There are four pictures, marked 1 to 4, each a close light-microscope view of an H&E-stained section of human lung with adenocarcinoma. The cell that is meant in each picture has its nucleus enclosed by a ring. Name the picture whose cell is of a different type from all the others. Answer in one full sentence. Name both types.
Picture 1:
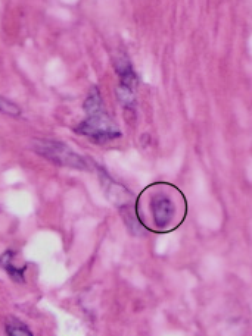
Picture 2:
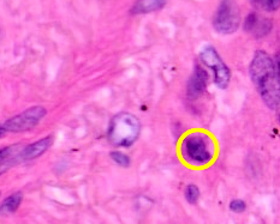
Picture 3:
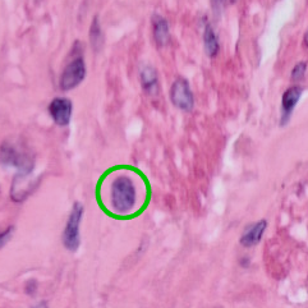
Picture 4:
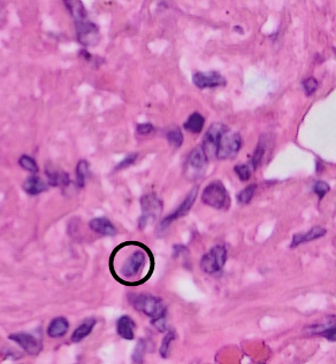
Unlike the rest, which show mast cells, picture 2 shows a plasma cell.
